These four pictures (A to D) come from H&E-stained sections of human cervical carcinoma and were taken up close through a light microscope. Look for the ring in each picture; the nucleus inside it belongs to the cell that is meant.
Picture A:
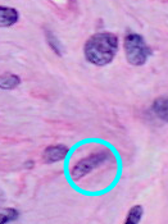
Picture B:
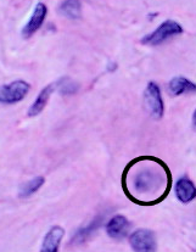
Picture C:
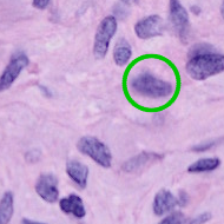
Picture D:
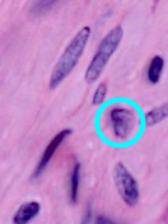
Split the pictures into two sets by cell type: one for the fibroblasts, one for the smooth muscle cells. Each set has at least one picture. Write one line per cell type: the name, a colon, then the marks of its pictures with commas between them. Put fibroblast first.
fibroblast: B, C, D
smooth muscle cell: A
